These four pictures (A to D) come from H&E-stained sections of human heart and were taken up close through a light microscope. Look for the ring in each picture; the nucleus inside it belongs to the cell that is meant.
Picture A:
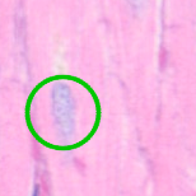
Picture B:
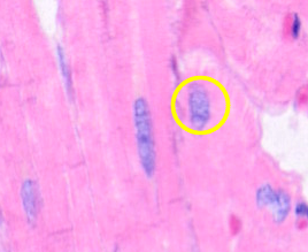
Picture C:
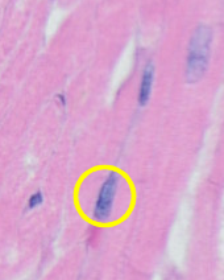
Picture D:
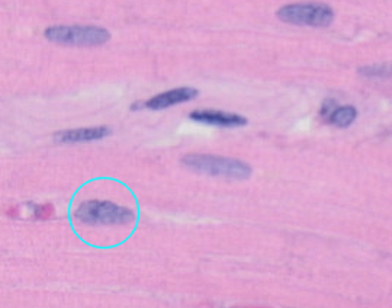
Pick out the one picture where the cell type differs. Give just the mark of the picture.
C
